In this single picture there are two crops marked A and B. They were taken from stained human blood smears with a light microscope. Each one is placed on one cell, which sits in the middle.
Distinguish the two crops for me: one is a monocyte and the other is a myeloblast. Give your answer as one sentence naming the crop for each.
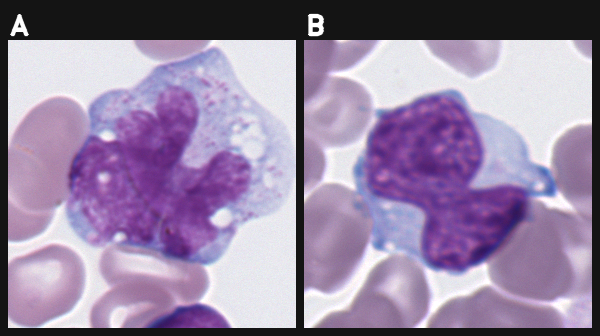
Crop A is designated a monocyte, and crop B is designated a myeloblast.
